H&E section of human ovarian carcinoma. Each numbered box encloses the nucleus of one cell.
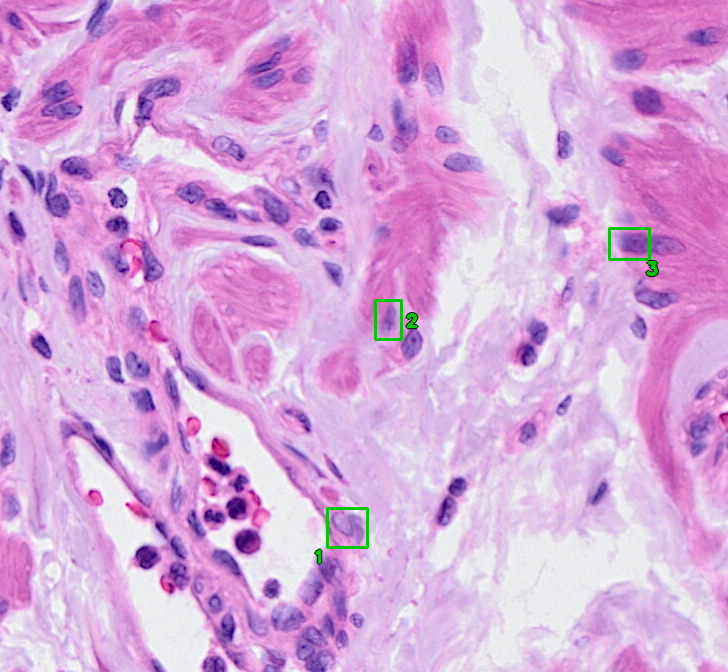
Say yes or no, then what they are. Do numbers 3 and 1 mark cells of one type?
No, cell 3 is identified as a smooth muscle cell, and cell 1 is identified as a fibroblast.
